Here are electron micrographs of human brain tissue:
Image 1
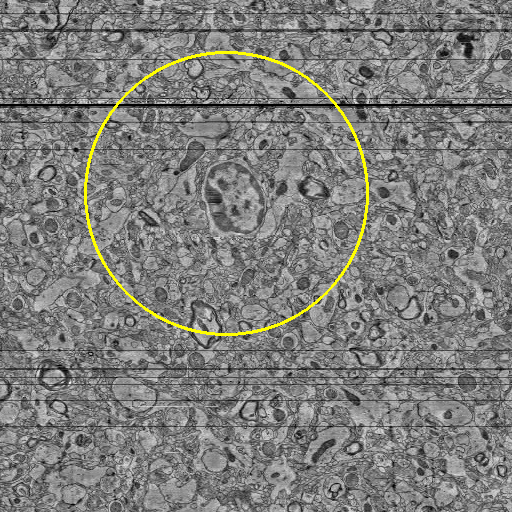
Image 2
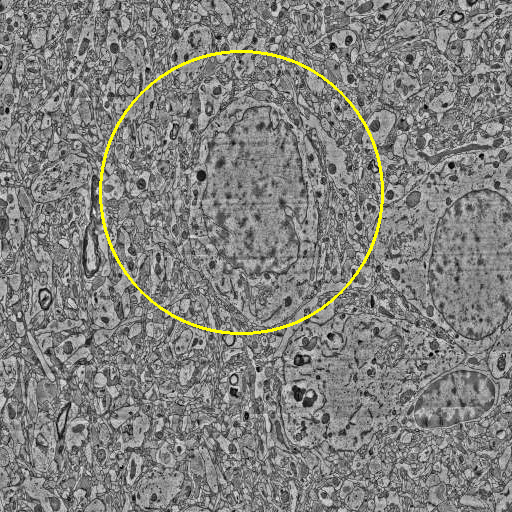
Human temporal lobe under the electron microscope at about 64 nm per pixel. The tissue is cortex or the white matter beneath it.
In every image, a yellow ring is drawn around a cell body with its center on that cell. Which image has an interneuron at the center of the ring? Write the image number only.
2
